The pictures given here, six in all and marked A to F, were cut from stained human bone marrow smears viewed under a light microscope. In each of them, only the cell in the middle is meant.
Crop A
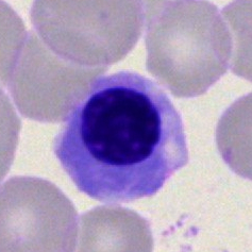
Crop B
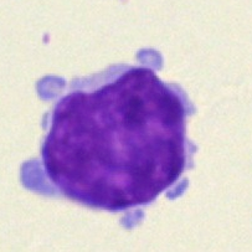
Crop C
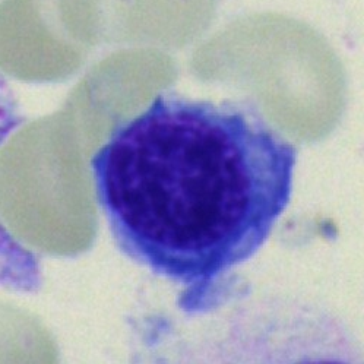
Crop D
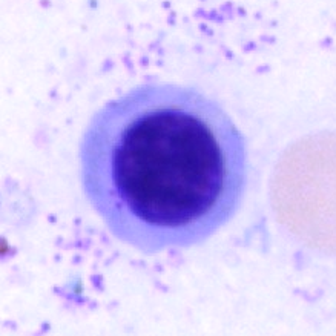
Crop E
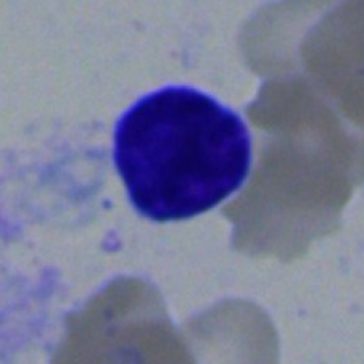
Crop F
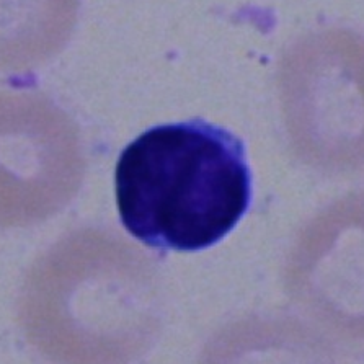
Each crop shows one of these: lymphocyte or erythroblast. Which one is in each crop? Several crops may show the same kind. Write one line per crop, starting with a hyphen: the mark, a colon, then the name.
- A: erythroblast
- B: lymphocyte
- C: erythroblast
- D: erythroblast
- E: lymphocyte
- F: lymphocyte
